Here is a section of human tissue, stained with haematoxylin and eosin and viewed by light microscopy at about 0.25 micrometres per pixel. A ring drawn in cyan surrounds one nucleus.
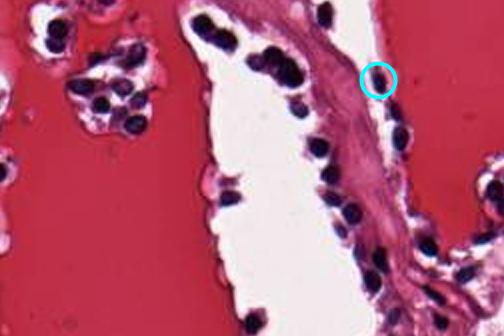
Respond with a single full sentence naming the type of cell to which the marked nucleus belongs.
The nucleus marked in this picture belongs to a thyroid follicular cell.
